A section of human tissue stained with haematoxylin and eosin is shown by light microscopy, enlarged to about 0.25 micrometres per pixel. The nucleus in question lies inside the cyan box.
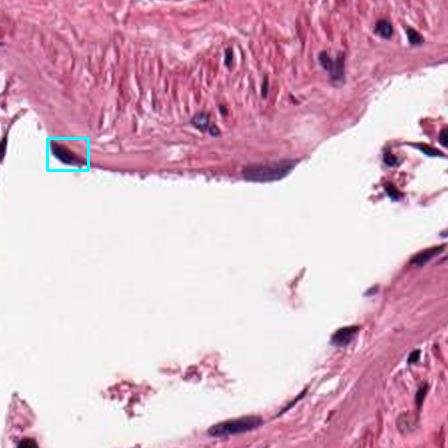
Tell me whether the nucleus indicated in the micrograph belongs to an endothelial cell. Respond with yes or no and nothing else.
yes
